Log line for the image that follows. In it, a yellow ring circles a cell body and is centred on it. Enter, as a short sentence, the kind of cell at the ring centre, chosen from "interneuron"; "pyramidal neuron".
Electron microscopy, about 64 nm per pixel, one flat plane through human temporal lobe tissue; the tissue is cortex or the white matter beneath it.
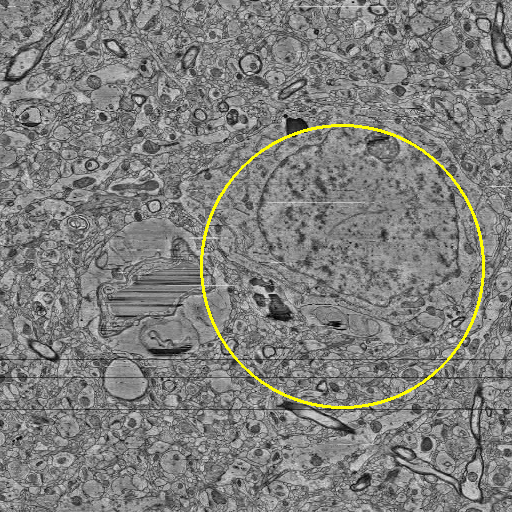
The ring centre is occupied by an interneuron.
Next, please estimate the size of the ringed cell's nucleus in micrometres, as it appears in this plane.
In this plane, the nucleus of the cell at the centre of the ring measures about 14 by 12 micrometres.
